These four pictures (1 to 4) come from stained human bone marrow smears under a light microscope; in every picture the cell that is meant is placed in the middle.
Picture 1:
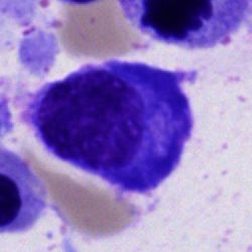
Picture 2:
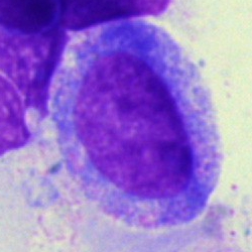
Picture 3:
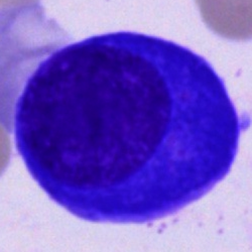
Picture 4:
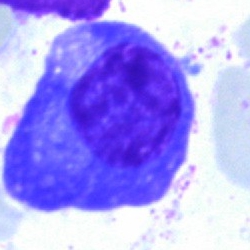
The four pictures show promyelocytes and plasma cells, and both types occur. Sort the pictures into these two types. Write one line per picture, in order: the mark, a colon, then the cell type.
1: plasma cell
2: promyelocyte
3: plasma cell
4: plasma cell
